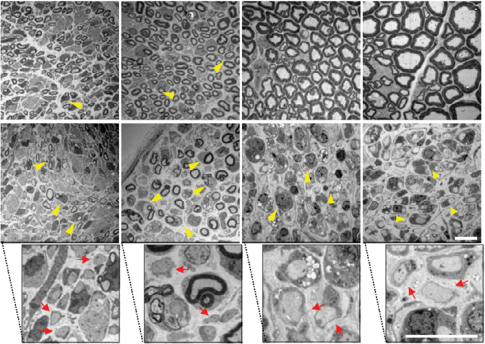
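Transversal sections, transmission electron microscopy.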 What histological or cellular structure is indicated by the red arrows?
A: naked axons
